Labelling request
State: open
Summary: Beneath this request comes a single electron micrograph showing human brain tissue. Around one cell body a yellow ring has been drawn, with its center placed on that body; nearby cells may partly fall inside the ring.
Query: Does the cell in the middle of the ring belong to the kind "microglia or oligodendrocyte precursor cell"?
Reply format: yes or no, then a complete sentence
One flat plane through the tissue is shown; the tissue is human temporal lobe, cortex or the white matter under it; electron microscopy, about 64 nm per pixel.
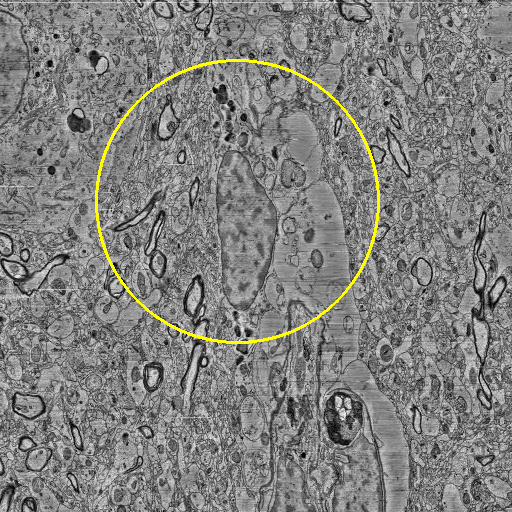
Yes, the cell sitting at the center of the ring in this picture is of that kind.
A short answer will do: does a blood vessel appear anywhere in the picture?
Yes, one appears.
